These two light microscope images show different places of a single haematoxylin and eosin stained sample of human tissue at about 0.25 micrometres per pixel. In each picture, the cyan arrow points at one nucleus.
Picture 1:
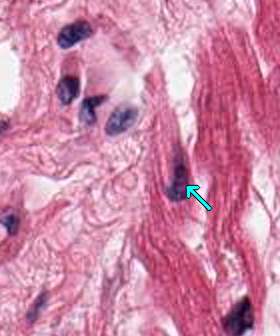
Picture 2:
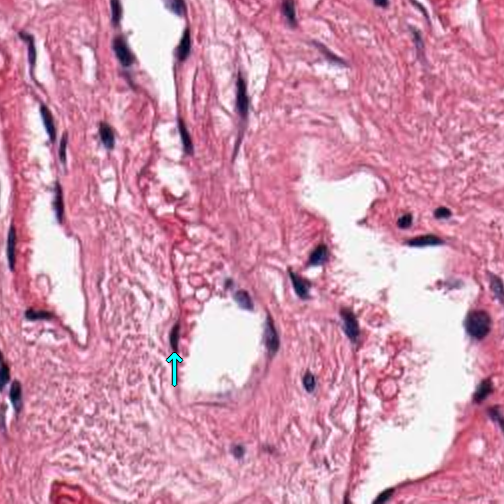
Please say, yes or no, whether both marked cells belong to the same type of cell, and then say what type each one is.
No, the first is a cardiomyocyte and the second an endothelial cell.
